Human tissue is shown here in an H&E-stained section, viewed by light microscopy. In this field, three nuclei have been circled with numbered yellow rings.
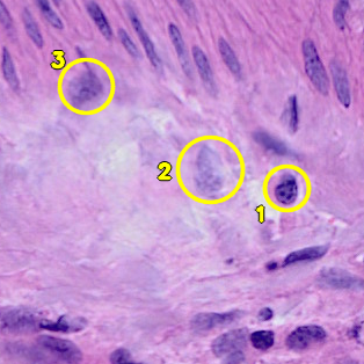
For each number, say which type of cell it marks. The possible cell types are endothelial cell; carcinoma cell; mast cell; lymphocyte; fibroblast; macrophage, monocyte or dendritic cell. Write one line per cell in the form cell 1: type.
cell 1: mast cell
cell 2: fibroblast
cell 3: fibroblast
